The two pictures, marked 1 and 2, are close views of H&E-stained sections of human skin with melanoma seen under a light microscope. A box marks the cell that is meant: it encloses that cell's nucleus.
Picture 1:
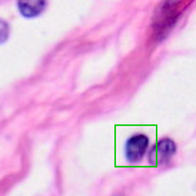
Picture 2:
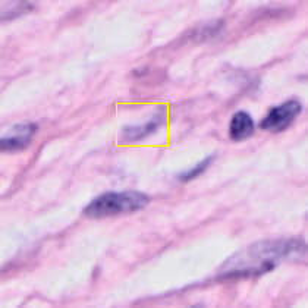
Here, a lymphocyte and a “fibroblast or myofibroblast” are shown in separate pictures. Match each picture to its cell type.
1: lymphocyte
2: fibroblast or myofibroblast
